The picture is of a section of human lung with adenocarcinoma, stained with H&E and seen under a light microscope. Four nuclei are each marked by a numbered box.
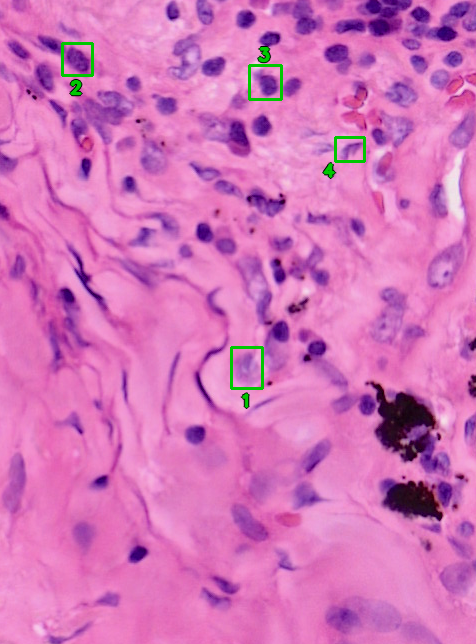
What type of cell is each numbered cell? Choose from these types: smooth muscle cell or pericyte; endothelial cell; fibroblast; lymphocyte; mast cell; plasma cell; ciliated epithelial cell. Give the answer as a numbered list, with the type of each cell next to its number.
1. fibroblast
2. plasma cell
3. lymphocyte
4. fibroblast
